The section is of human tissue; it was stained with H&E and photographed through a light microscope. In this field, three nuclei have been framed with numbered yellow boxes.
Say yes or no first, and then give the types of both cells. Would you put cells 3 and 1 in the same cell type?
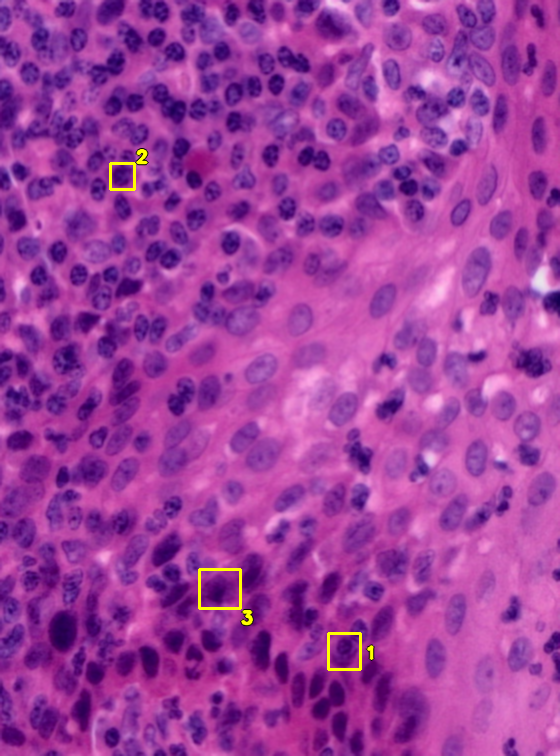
Yes, both of the cells numbered 3 and 1 are squamous epithelial cells.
